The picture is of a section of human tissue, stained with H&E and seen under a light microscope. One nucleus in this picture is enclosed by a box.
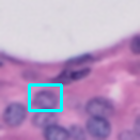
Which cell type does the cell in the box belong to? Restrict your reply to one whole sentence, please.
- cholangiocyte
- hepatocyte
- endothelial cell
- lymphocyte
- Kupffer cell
In this section of tissue, the cell in the box is a cholangiocyte.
